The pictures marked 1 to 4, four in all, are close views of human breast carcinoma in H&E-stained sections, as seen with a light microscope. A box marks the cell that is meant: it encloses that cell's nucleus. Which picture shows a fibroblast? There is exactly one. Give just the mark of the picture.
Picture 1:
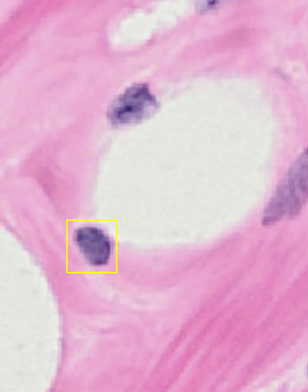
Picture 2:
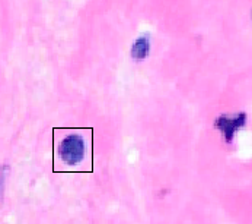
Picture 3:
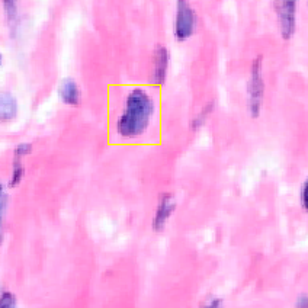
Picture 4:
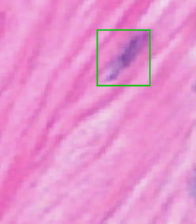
4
